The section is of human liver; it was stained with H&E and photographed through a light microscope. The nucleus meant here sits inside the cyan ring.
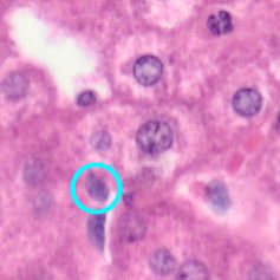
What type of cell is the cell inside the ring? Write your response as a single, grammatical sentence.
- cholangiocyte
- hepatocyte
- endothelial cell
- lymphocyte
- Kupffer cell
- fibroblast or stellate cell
By its classification, the cell inside the ring is an endothelial cell.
